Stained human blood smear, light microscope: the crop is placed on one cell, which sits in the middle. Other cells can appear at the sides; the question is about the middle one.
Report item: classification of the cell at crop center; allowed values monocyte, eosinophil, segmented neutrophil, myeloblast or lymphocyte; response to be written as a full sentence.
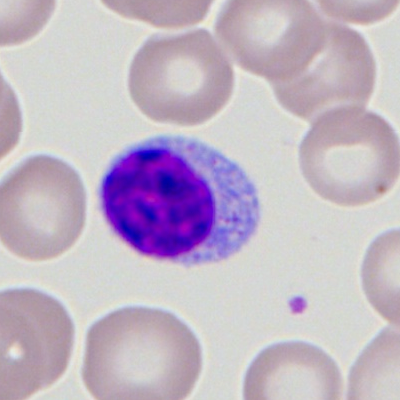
By classification, the middle cell of this crop is a lymphocyte.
